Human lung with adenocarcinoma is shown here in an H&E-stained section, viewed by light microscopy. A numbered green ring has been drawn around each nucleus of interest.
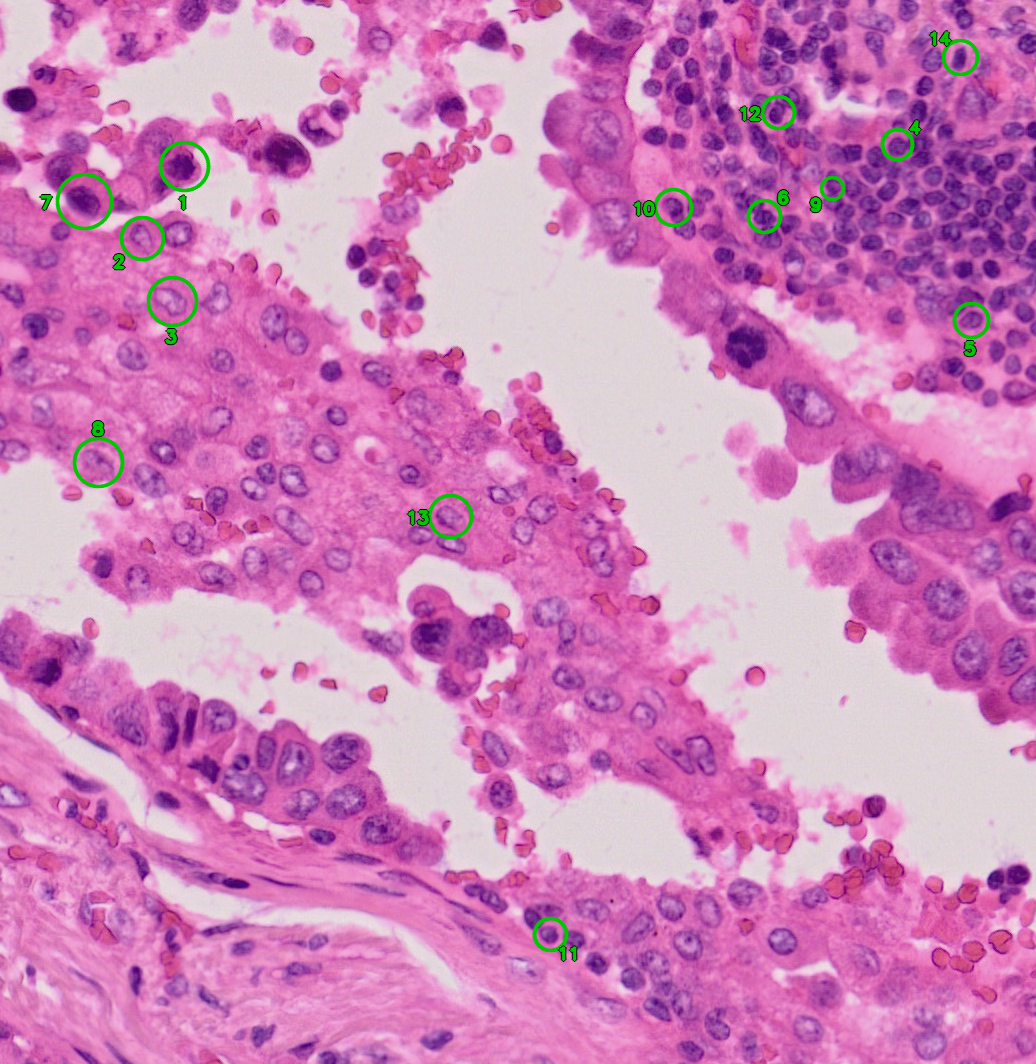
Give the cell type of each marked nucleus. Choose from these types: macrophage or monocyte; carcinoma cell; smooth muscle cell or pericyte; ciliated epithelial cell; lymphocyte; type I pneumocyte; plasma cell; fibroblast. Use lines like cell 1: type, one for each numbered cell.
cell 1: carcinoma cell
cell 2: macrophage or monocyte
cell 3: macrophage or monocyte
cell 4: lymphocyte
cell 5: lymphocyte
cell 6: lymphocyte
cell 7: carcinoma cell
cell 8: macrophage or monocyte
cell 9: lymphocyte
cell 10: lymphocyte
cell 11: lymphocyte
cell 12: lymphocyte
cell 13: macrophage or monocyte
cell 14: lymphocyte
